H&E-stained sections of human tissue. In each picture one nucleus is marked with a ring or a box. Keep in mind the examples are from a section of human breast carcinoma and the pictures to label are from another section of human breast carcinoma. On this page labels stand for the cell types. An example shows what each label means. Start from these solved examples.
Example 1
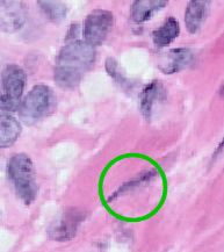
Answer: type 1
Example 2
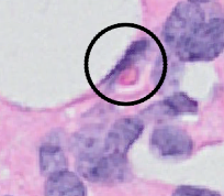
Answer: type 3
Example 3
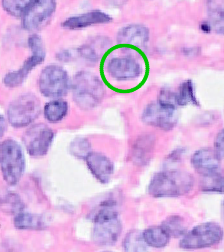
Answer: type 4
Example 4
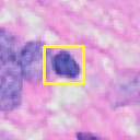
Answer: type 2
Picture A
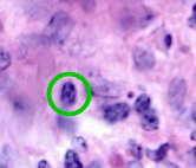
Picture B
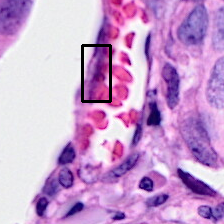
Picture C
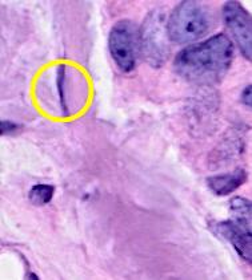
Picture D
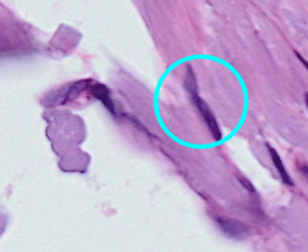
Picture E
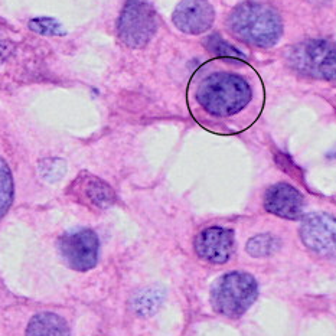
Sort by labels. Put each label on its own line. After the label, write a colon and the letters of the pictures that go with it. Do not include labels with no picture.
type 1: C, D
type 3: B
type 4: E
type 2: A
